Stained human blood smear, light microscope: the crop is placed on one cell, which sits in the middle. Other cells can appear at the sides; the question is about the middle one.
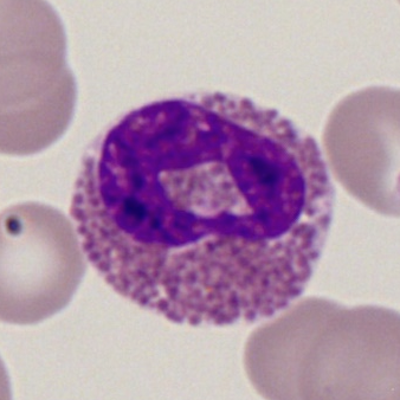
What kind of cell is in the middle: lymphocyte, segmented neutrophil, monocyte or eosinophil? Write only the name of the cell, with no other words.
eosinophil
